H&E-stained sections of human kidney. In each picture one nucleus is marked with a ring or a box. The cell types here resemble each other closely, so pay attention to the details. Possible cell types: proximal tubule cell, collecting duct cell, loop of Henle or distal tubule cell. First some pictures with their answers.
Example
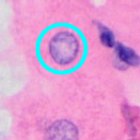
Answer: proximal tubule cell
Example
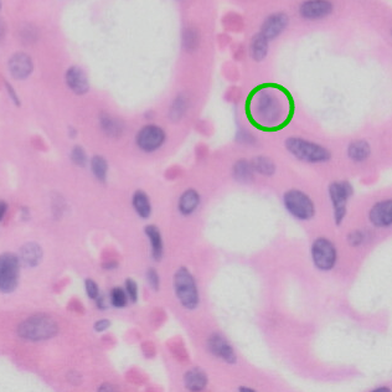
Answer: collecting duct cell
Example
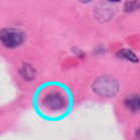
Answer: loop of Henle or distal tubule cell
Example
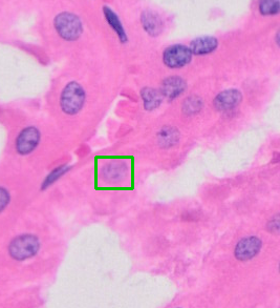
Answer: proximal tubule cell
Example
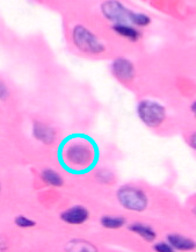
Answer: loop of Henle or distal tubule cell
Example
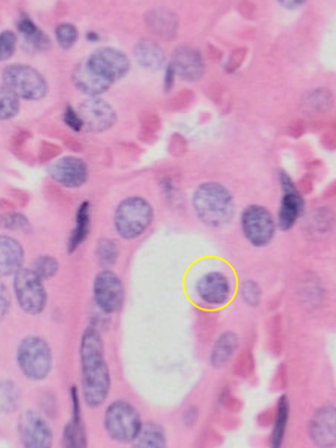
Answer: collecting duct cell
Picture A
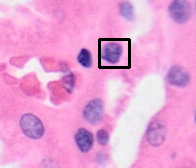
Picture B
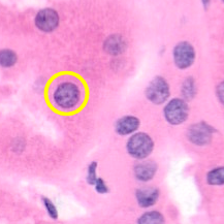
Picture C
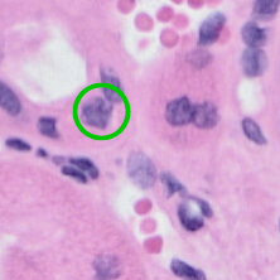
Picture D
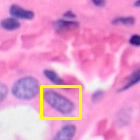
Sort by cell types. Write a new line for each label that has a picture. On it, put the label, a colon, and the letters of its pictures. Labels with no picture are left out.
proximal tubule cell: B
collecting duct cell: C, D
loop of Henle or distal tubule cell: A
